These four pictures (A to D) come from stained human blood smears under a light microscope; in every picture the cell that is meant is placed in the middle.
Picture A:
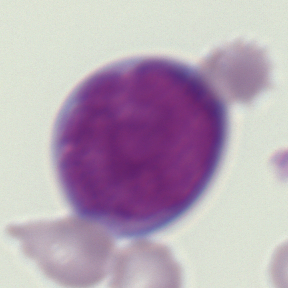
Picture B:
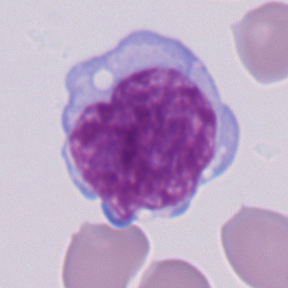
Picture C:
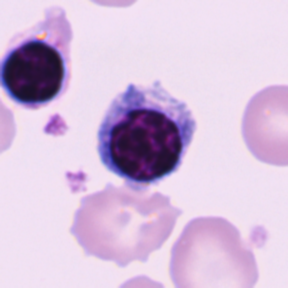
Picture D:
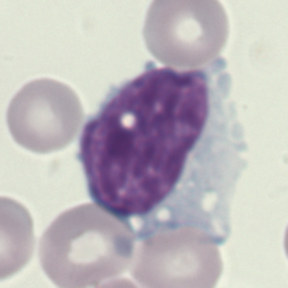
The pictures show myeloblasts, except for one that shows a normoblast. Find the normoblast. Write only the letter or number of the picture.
C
